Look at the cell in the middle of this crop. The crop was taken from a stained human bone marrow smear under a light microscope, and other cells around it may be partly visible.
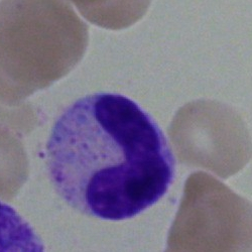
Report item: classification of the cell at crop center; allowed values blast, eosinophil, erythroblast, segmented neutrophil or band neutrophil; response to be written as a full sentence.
Seen at the centre of the crop is a band neutrophil.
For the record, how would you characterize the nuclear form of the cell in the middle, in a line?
What stands out is a nucleus forming one compact round, oval or kidney-shaped mass.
